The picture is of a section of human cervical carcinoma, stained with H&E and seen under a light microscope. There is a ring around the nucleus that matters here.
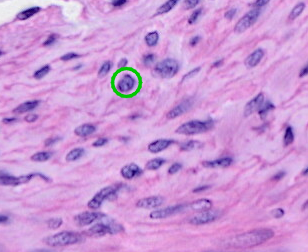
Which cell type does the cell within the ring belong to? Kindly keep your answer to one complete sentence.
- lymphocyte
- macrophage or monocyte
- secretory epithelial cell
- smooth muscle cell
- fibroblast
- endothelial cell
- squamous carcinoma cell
By cell type, the cell within the ring is a smooth muscle cell.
